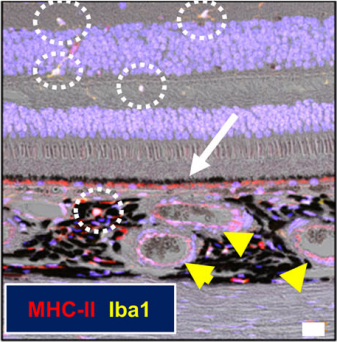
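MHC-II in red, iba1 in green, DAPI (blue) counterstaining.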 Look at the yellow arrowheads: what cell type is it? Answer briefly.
Blood endothelial cells.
